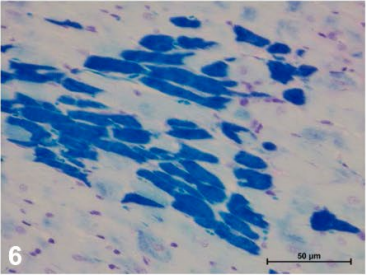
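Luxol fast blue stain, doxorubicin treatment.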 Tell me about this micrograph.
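Within a pale, faintly blue field of heart muscle fibres lie many sharply dark blue, irregular, lumpy masses aligned along the fibre direction. These clumped dark blue aggregates are contraction bands, a late stage of cardiomyocyte degeneration.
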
